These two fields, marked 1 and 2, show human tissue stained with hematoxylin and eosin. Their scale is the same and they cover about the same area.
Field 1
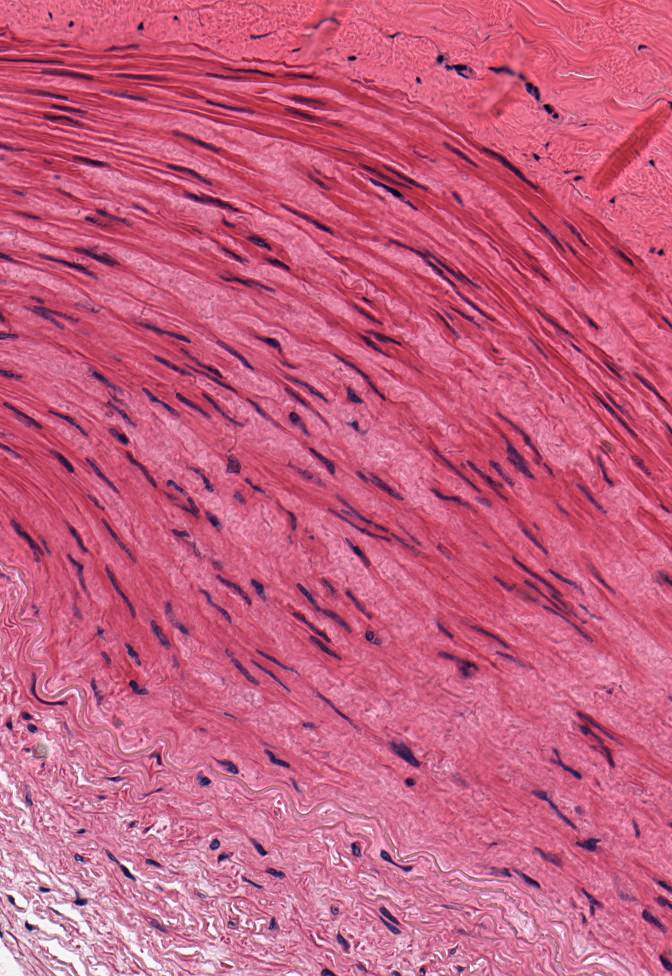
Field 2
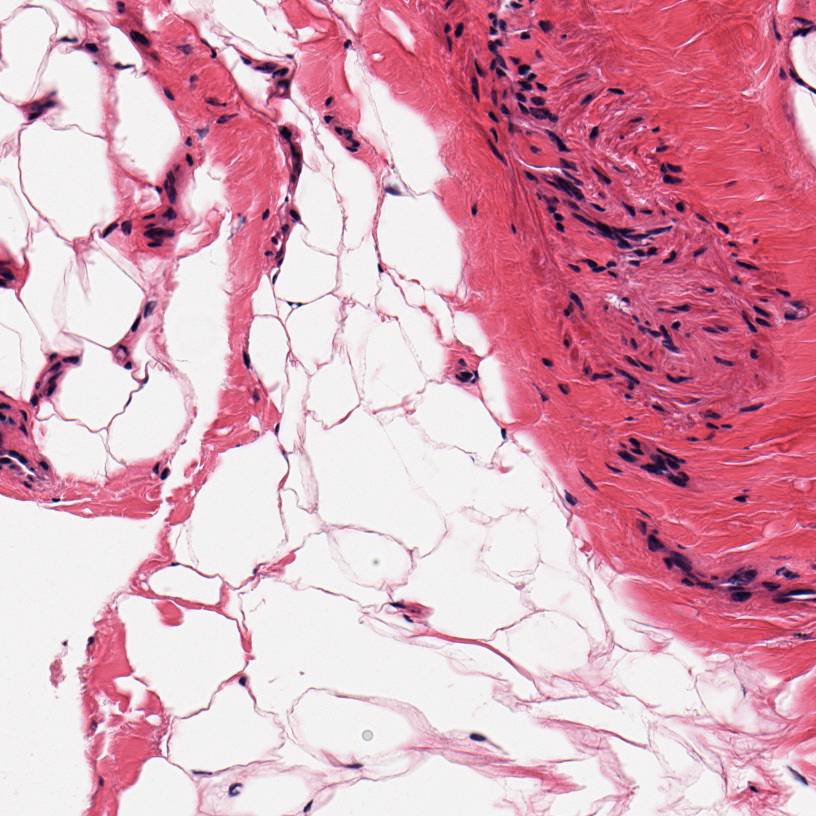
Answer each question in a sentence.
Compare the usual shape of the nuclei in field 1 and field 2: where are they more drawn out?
The nuclei are more elongated in field 1.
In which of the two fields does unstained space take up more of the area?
More of field 2 is empty and white.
